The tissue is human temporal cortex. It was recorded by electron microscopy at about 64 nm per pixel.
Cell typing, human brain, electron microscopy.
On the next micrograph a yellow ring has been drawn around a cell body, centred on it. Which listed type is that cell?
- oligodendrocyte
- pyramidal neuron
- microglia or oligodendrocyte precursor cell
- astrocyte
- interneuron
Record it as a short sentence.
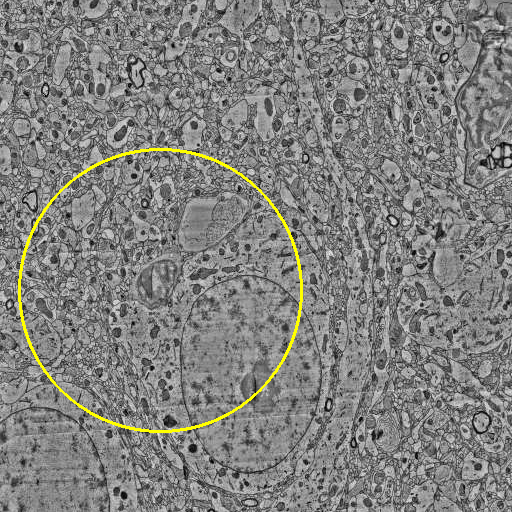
The cell body in the ring's centre belongs to an oligodendrocyte.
